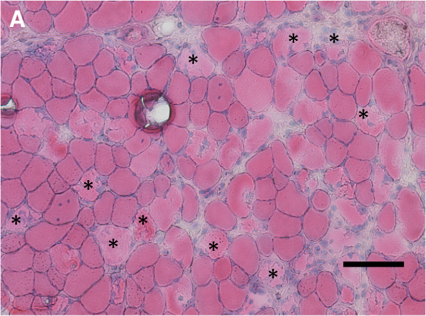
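This is a cross-section of skeletal muscle, with polygonal myofibers cut across and stained pink, their nuclei small and purple at the fiber edges. Scattered among the normal fibers are damaged fibers whose cytoplasm is paler and in places mottled or disrupted. Between groups of fibers the spaces are widened and pale, holding many small purple nuclei.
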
